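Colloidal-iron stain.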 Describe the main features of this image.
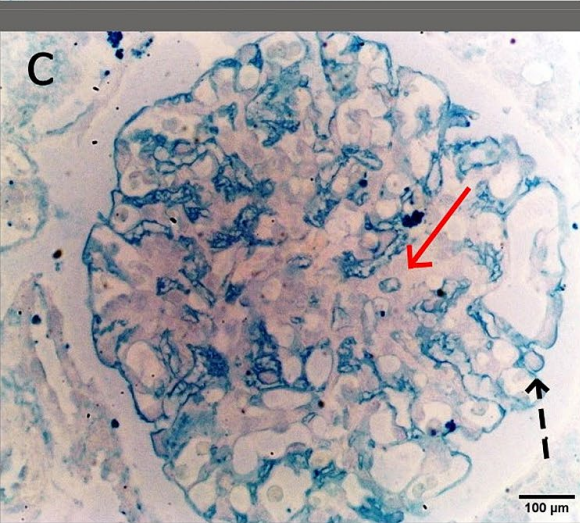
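A single glomerulus fills the field: a lobulated tuft of capillary loops whose surfaces are traced by blue-green lines, with a pinkish-purple background stain in the middle of the tuft. Podocytes on the outer surface of the loops are outlined by the blue coat.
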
